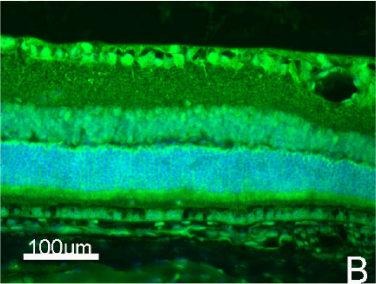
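Section of retina with its layers stacked in parallel bands. A single row of rounded cell bodies at the inner surface is followed by a broad green fibrous band and a layer of nuclei with green surroundings. Outward lies a thick band of densely packed blue nuclei, then a bright green band over the pigmented epithelium.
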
